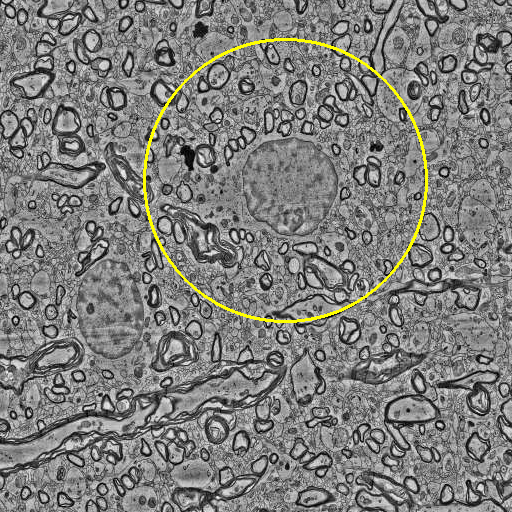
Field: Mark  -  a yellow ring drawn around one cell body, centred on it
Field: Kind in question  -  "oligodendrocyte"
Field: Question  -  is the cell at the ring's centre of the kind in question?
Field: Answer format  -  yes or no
yes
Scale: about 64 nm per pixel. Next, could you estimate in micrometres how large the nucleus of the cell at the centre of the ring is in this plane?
The nucleus measures about 6 micrometers across in this plane.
